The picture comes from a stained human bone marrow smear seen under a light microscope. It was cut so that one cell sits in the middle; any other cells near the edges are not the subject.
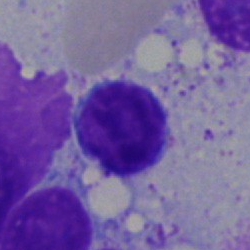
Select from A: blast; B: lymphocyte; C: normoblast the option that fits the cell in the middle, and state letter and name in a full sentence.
The cell centred in the crop is a lymphocyte, and the correct option is thus B.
